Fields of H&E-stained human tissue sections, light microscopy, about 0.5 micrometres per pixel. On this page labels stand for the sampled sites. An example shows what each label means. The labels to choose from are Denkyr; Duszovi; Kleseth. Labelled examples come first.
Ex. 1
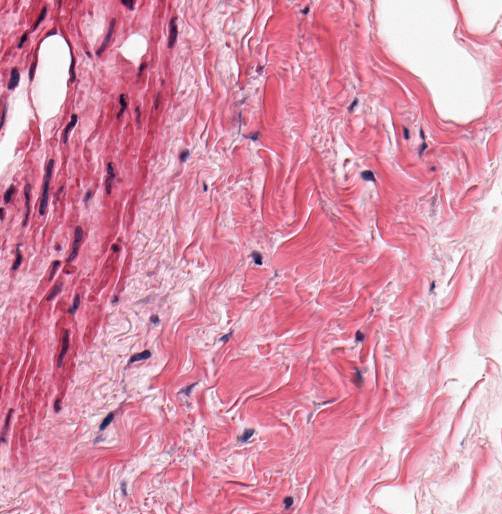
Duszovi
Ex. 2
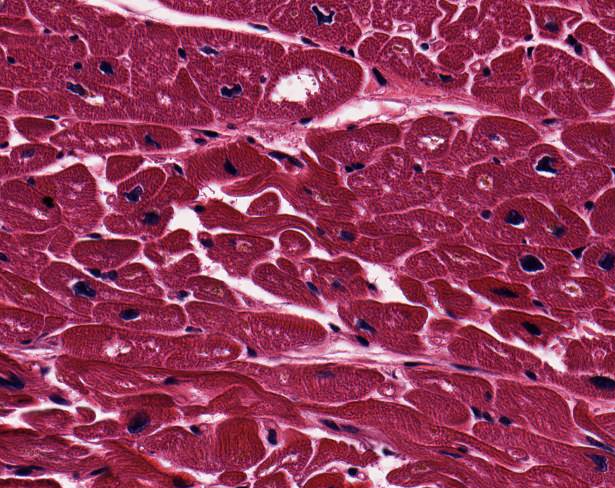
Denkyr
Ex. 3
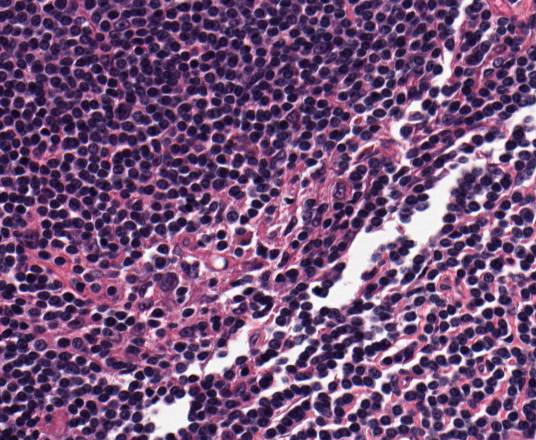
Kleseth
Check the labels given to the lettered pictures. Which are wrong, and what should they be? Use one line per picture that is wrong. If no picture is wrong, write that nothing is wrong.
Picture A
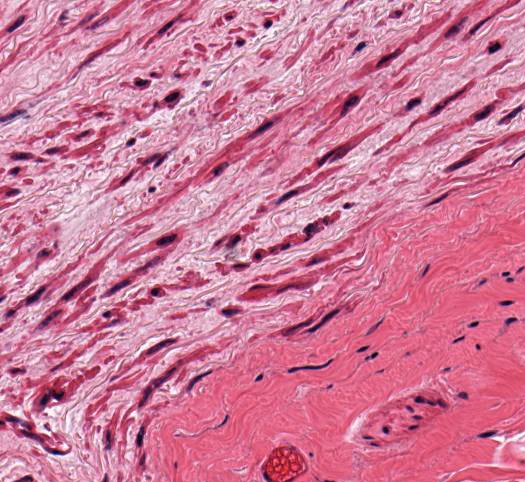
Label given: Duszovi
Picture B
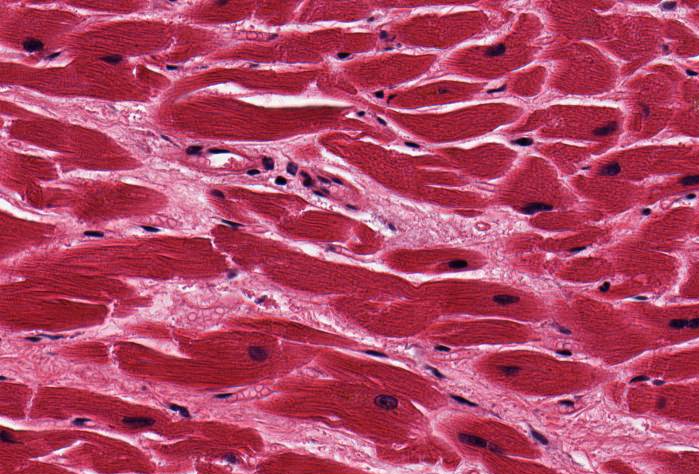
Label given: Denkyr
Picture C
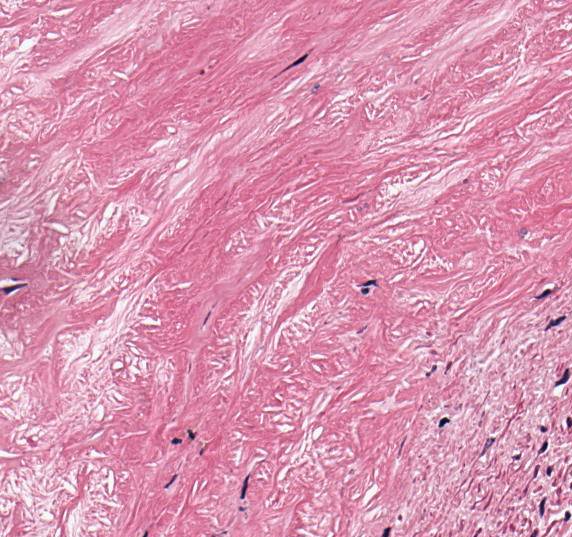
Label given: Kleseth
C: not Kleseth but Duszovi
